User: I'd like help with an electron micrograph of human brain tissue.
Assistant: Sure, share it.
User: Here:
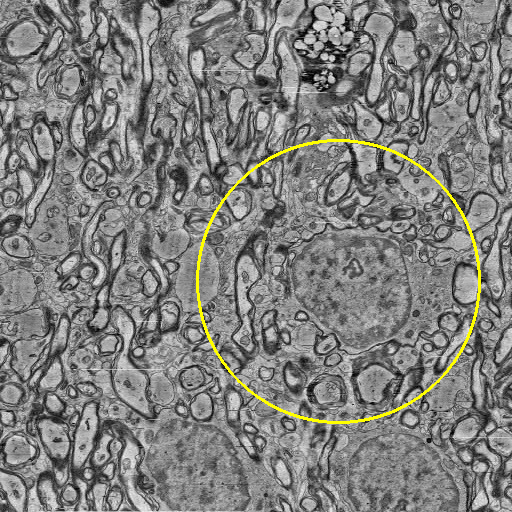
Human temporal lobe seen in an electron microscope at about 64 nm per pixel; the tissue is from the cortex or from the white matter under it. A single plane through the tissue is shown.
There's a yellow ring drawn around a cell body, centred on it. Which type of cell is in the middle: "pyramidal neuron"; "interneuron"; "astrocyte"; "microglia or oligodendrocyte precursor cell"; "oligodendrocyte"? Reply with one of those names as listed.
oligodendrocyte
